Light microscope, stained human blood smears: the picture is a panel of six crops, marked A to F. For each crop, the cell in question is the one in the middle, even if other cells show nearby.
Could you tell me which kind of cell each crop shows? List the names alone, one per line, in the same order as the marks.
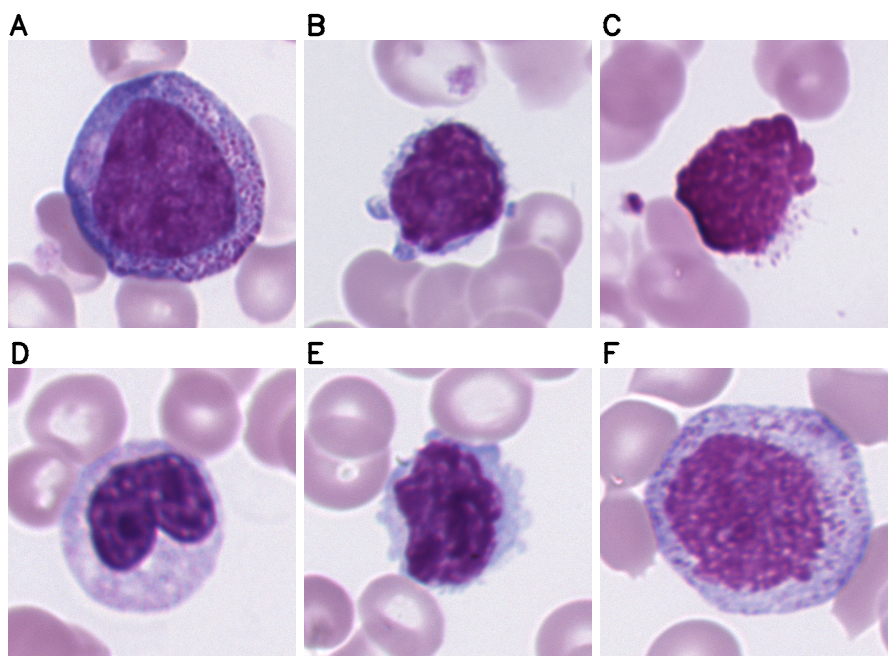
promyelocyte
typical lymphocyte
smudge cell
band neutrophil
typical lymphocyte
promyelocyte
